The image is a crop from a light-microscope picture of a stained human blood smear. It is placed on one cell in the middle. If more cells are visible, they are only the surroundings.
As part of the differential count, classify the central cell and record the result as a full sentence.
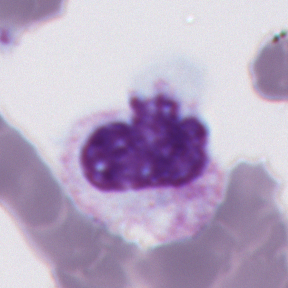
Where the crop is centred, there is a segmented neutrophil.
